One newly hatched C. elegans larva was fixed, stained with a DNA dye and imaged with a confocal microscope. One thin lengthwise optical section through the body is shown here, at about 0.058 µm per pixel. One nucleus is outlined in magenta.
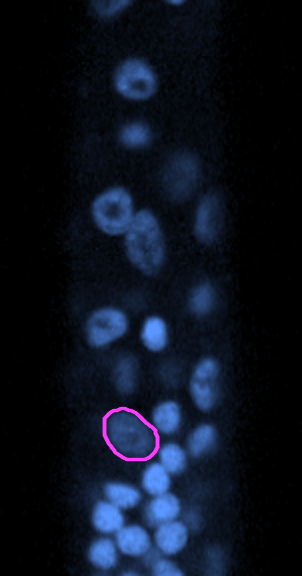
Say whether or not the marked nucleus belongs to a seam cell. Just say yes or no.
yes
